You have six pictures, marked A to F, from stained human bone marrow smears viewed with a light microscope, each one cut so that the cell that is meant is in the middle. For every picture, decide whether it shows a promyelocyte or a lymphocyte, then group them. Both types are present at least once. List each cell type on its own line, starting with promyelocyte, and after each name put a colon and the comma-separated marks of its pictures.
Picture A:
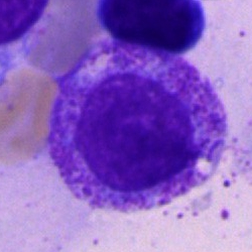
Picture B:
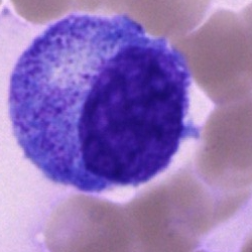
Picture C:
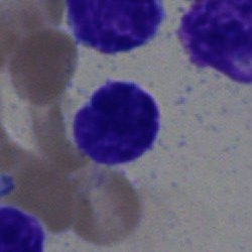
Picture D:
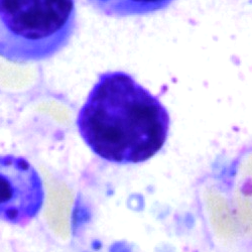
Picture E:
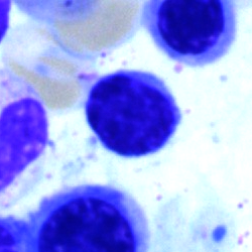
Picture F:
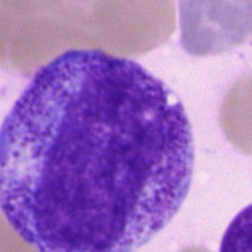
promyelocyte: A, B, F
lymphocyte: C, D, E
